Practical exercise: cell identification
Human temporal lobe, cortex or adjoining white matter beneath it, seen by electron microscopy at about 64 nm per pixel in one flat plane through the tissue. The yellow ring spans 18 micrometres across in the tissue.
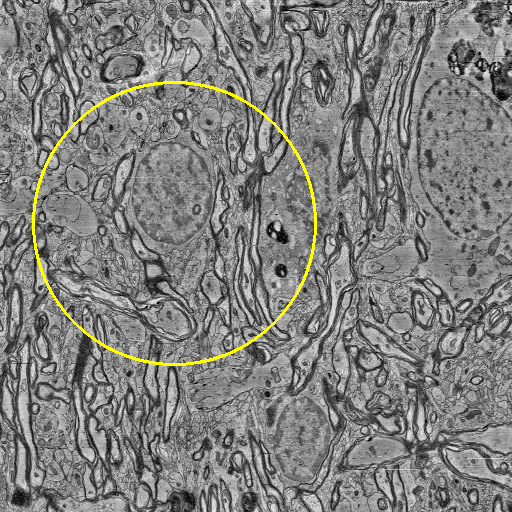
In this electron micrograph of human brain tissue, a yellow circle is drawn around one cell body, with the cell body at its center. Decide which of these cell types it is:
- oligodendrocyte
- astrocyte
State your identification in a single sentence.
The ringed cell is an oligodendrocyte.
